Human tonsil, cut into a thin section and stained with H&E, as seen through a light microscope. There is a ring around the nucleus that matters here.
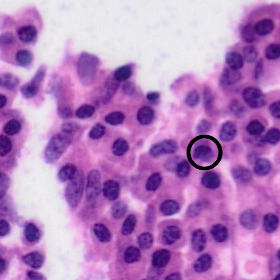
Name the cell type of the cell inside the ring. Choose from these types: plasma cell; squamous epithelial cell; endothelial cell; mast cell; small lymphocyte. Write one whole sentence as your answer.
The identity of the cell inside the ring: it is a plasma cell.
